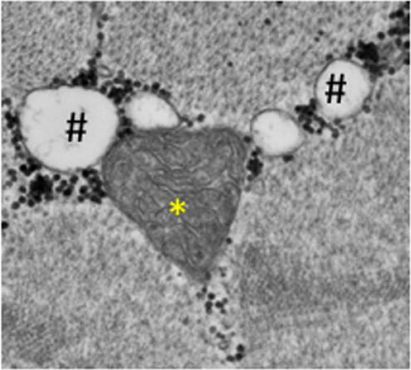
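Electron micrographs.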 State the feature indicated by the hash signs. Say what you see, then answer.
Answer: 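The marked bodies are round and pale with no internal structure. They lie in a row between myofibrils next to a mitochondrion.
Hence: fat.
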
